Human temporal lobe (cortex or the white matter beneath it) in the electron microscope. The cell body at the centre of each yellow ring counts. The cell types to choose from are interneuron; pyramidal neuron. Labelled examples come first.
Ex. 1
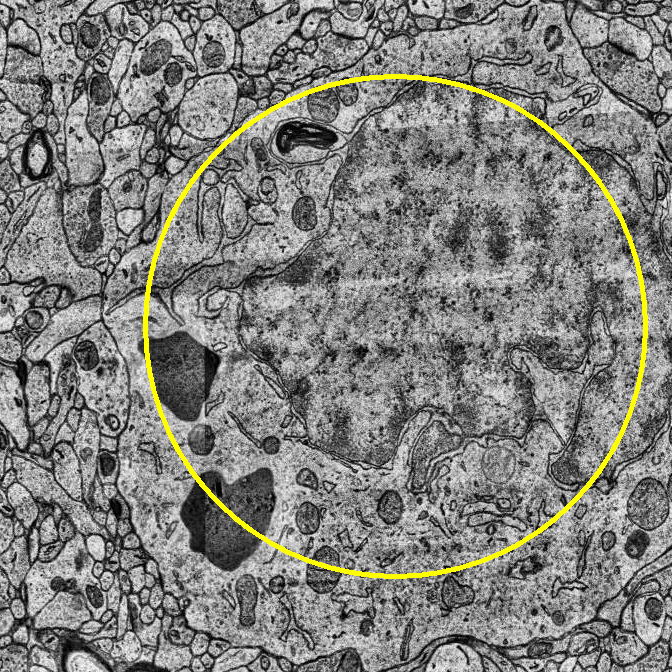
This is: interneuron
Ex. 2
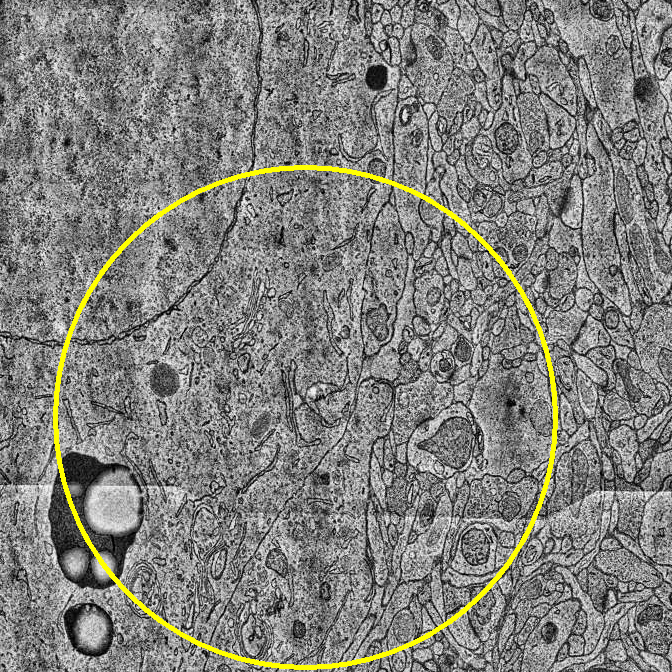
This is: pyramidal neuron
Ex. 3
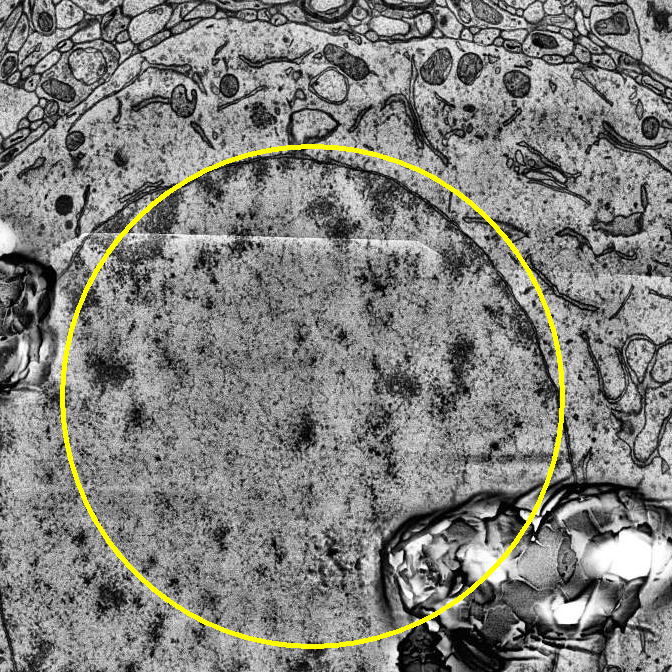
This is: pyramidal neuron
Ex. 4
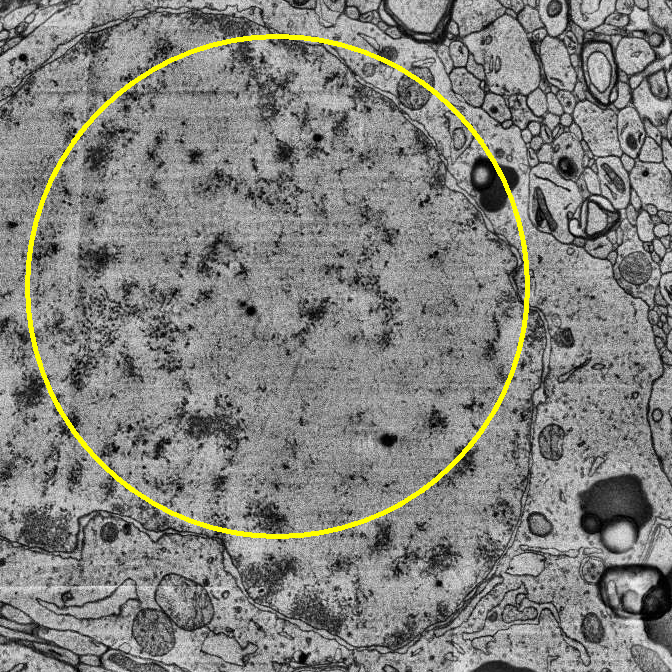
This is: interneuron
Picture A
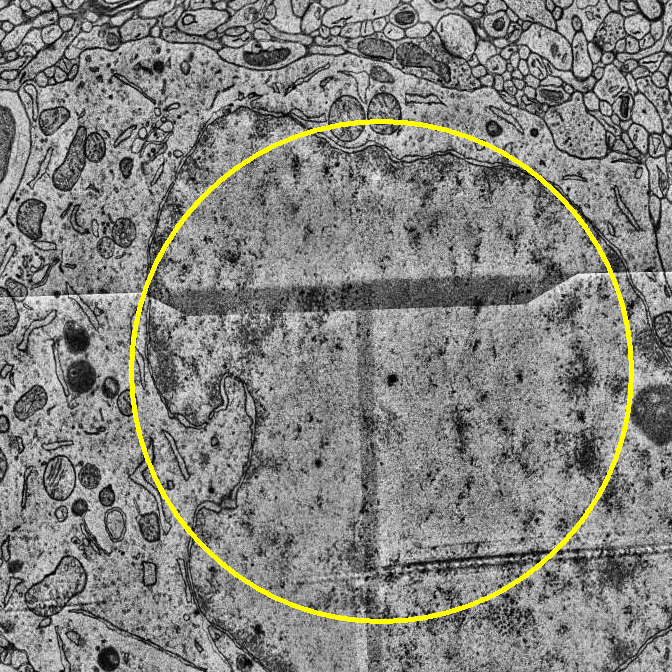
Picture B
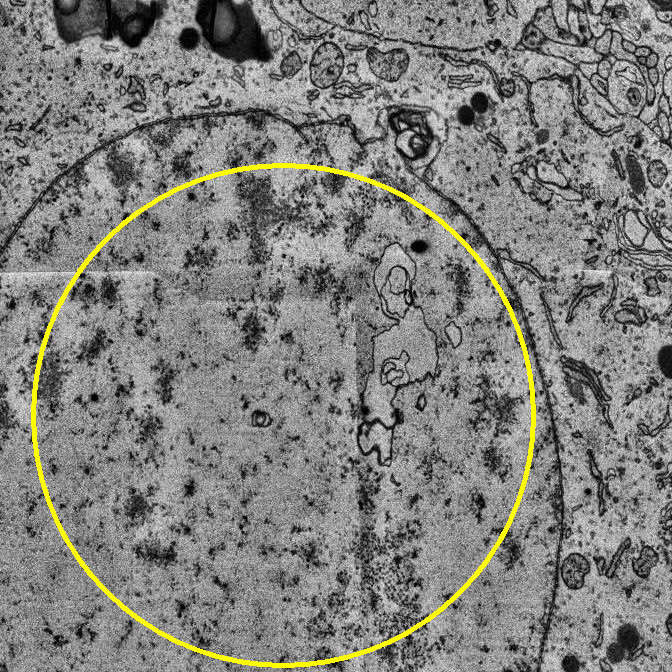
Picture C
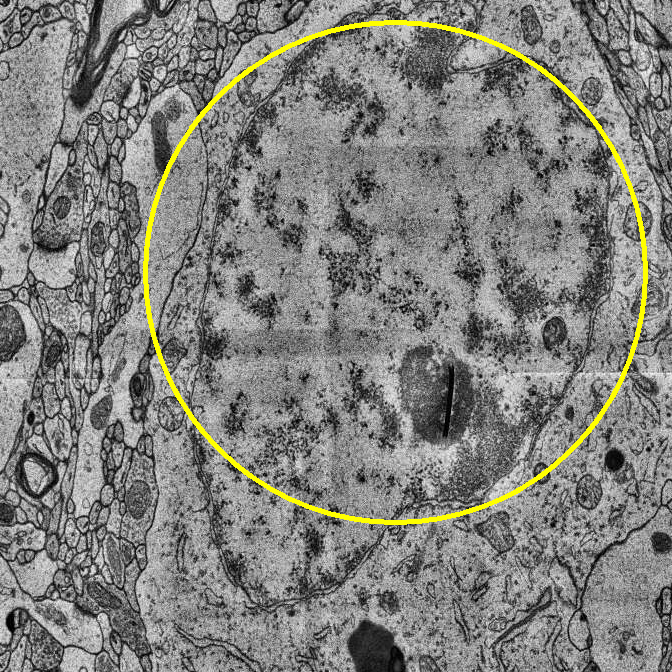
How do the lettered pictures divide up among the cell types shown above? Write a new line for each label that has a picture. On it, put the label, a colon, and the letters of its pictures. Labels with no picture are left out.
interneuron: A, C
pyramidal neuron: B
